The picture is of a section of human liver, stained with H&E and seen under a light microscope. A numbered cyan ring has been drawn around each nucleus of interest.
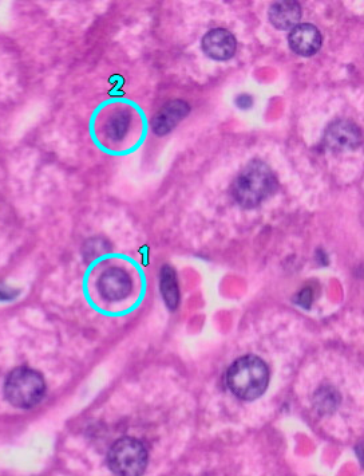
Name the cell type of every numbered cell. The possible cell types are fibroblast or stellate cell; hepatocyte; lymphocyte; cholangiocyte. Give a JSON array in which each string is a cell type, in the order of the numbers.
["hepatocyte", "fibroblast or stellate cell"]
